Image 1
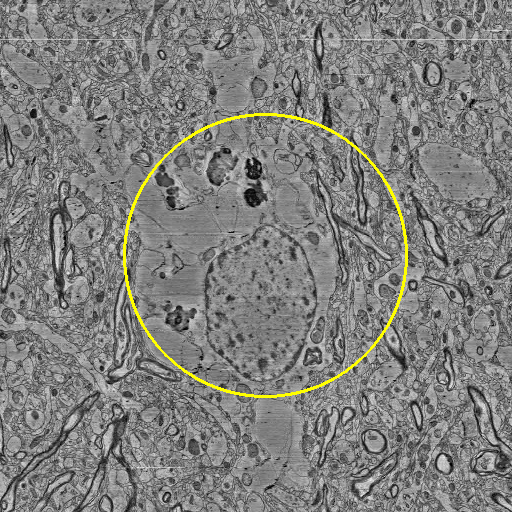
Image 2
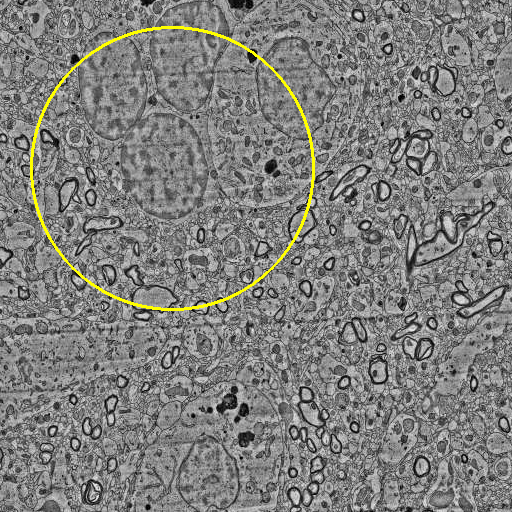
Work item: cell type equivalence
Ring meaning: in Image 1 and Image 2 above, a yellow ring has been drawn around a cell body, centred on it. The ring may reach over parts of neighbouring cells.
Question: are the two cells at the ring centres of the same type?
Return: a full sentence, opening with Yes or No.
No, the two centred cells are of two types.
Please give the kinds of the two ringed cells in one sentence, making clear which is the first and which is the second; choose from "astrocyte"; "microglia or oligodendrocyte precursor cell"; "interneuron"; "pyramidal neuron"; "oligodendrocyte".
In the second picture the ringed cell is an oligodendrocyte; in the first it is an astrocyte.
